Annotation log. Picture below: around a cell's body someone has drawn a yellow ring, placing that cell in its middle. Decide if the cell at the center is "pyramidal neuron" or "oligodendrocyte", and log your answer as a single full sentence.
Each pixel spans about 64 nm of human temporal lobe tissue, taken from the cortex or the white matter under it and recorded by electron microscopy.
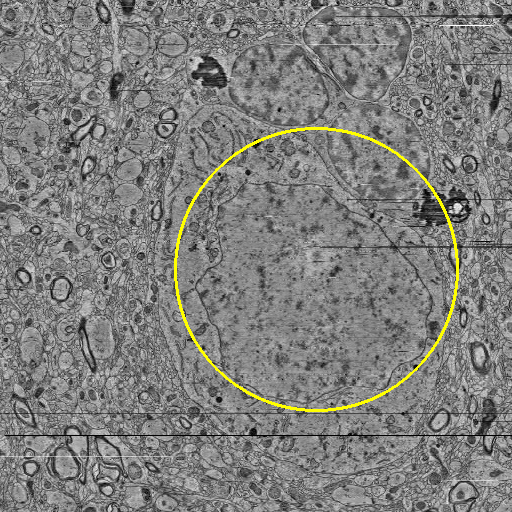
My entry records a pyramidal neuron as the cell sitting at the center of the yellow ring.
